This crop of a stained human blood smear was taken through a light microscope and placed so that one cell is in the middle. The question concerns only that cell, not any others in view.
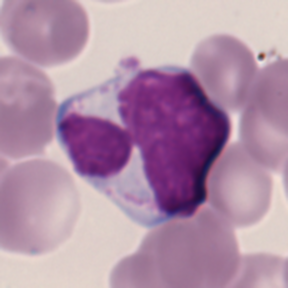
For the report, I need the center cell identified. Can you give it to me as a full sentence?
In the centre of this crop there is a large granular lymphocyte.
